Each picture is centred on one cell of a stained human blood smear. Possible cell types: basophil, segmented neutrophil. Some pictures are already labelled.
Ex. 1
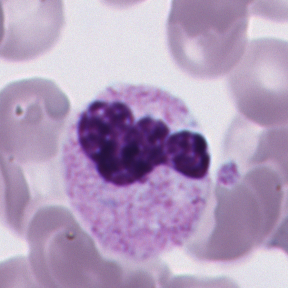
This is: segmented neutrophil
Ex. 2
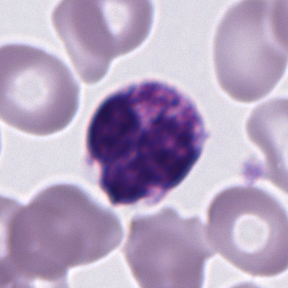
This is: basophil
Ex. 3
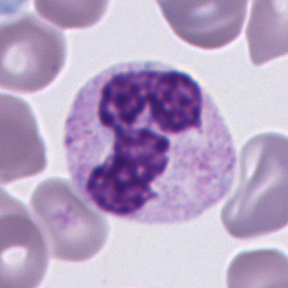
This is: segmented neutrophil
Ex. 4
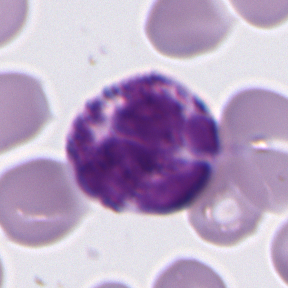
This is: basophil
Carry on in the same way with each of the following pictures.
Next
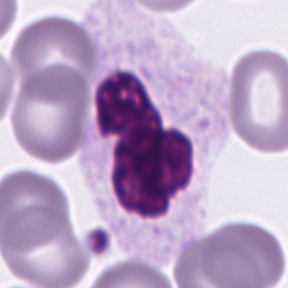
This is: segmented neutrophil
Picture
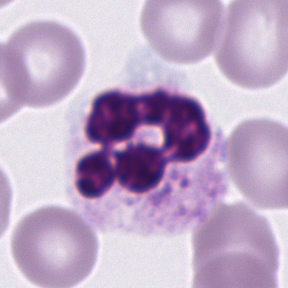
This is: segmented neutrophil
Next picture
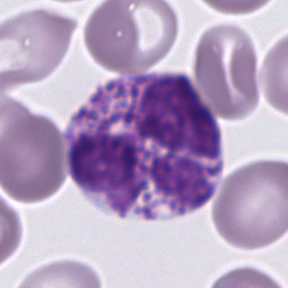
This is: basophil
